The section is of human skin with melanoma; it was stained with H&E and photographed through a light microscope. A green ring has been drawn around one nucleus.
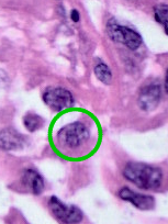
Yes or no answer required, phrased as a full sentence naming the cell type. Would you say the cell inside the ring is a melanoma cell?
Yes, the cell inside the ring is a melanoma cell in this section.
